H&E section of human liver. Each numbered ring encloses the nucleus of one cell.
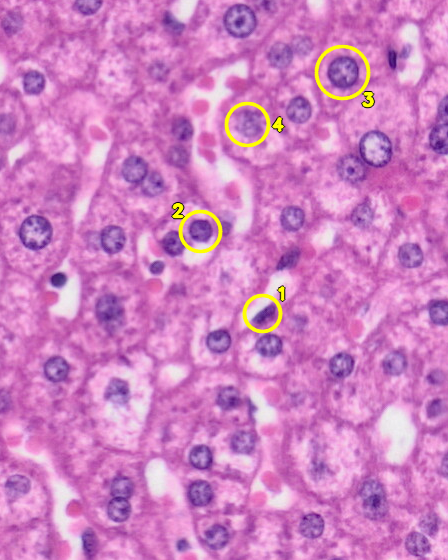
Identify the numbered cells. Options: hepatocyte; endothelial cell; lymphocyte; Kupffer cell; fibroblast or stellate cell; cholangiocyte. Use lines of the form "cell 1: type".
cell 1: Kupffer cell
cell 2: hepatocyte
cell 3: hepatocyte
cell 4: hepatocyte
